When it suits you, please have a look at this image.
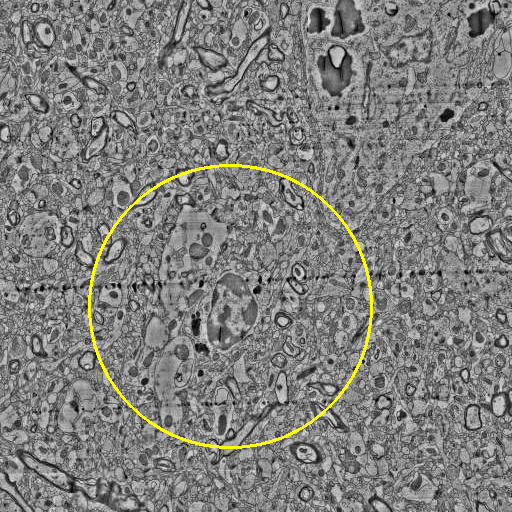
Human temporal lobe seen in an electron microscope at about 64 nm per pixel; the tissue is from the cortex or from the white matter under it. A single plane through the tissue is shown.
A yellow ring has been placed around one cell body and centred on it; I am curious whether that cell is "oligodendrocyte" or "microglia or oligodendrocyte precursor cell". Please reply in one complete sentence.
The ringed cell, a microglial cell or oligodendrocyte precursor cell, has its body at the centre of the yellow ring.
